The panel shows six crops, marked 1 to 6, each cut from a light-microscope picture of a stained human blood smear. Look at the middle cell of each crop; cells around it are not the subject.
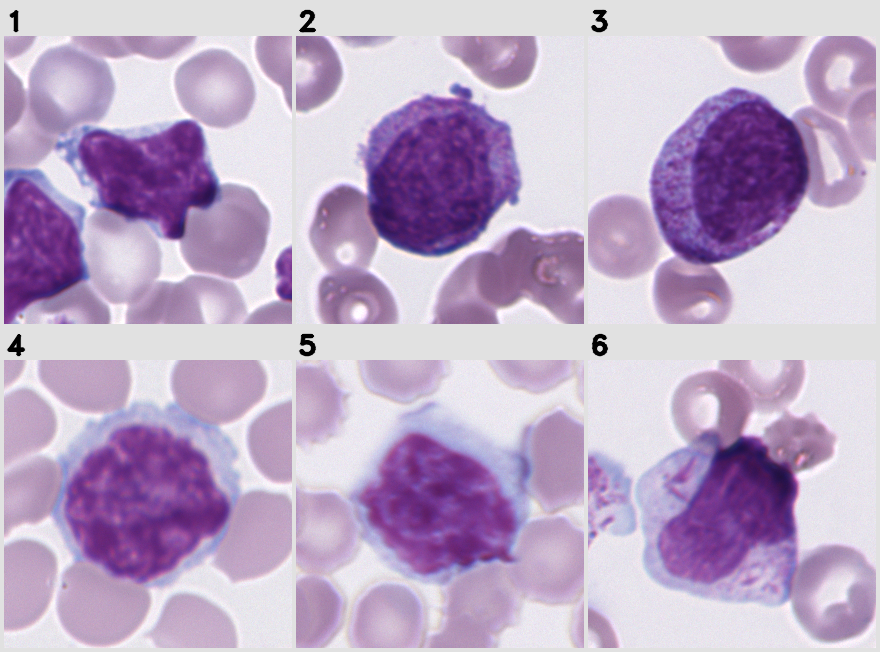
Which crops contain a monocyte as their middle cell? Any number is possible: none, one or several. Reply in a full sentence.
Found in crop 4 and nowhere else in the set is a monocyte.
